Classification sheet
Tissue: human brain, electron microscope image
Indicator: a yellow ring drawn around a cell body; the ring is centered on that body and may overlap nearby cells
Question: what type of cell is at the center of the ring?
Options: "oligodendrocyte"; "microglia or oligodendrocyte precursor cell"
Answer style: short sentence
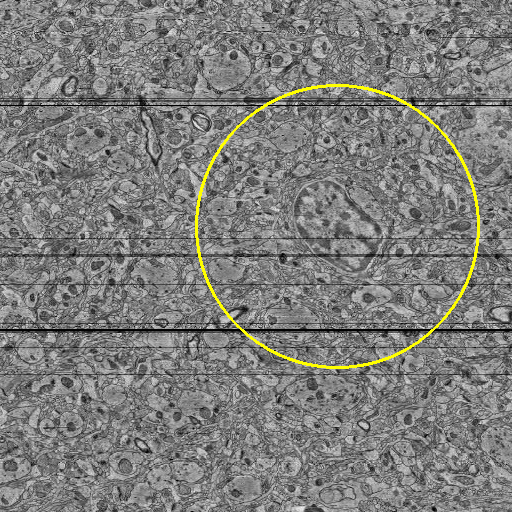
At the ring's center is a microglial cell or oligodendrocyte precursor cell.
